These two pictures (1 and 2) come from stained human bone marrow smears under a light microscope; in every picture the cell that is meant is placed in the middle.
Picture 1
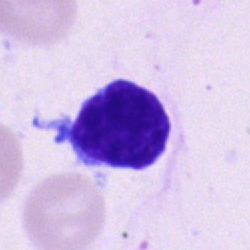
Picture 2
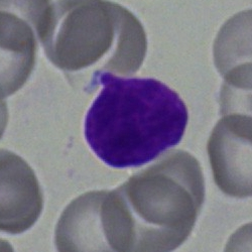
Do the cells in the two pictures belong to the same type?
yes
